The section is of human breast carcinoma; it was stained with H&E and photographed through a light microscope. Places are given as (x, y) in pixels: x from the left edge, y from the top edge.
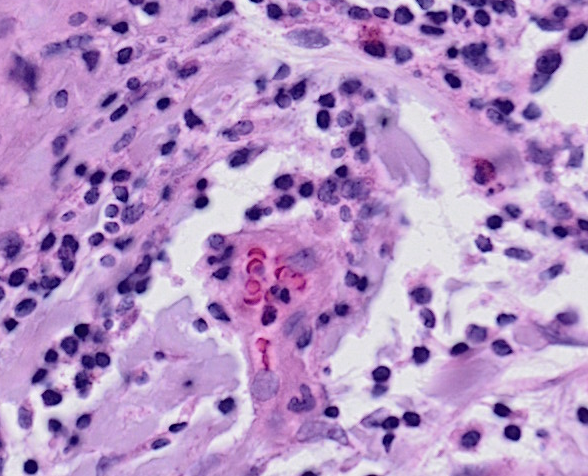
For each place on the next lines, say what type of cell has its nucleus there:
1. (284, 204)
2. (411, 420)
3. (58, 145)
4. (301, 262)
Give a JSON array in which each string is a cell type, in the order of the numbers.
["lymphocyte", "lymphocyte", "lymphocyte", "endothelial cell"]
